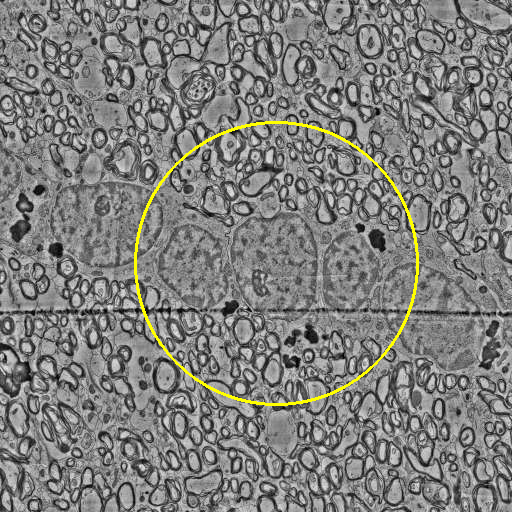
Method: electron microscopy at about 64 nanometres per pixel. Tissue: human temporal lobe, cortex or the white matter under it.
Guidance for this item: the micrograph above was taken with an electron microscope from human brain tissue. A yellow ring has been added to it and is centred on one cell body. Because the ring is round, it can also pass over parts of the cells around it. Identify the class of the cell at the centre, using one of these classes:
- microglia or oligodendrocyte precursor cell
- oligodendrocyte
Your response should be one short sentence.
The ring surrounds the body of an oligodendrocyte.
